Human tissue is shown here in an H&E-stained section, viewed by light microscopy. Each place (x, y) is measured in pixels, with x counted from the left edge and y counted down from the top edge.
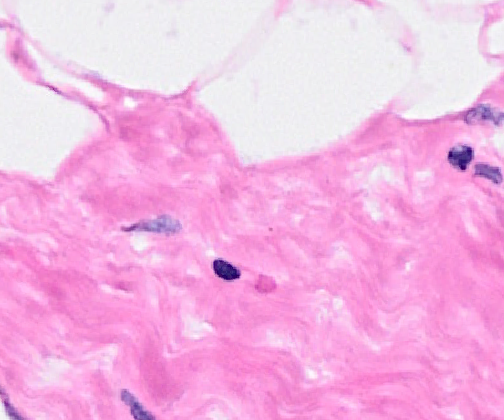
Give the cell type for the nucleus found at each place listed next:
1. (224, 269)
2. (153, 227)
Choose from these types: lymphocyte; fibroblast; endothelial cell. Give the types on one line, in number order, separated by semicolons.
lymphocyte; fibroblast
